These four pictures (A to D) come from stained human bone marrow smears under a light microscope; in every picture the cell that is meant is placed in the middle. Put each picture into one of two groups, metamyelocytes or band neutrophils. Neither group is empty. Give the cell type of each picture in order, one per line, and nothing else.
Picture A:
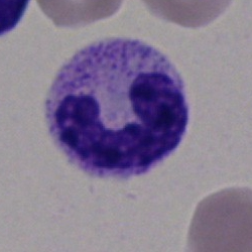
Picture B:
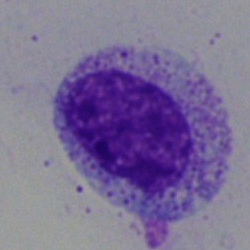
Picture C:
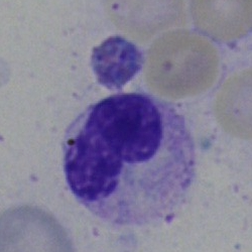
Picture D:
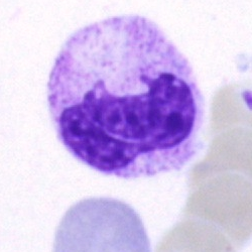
band neutrophil
metamyelocyte
band neutrophil
band neutrophil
